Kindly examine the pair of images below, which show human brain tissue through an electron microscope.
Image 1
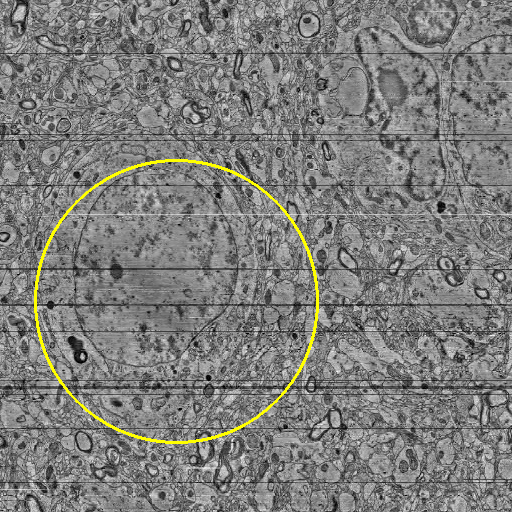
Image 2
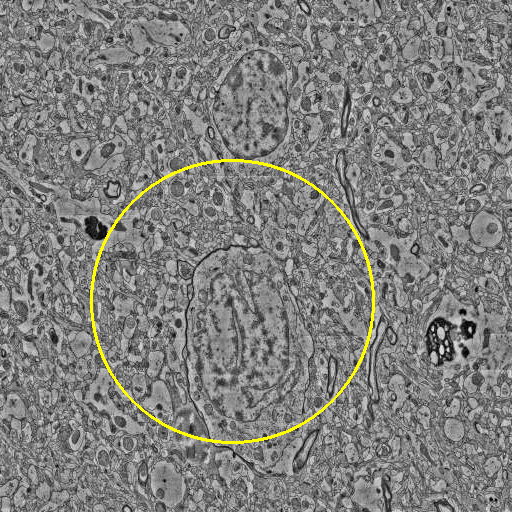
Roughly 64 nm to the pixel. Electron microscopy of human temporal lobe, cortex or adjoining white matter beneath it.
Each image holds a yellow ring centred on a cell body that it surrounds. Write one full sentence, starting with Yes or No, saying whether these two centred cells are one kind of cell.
No, the cells at the centres of the yellow rings belong to two kinds of cell.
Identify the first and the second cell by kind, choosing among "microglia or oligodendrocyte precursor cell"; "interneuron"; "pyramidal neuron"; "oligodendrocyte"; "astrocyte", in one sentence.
The one in the first picture is a pyramidal neuron, while the one in the second is an interneuron.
